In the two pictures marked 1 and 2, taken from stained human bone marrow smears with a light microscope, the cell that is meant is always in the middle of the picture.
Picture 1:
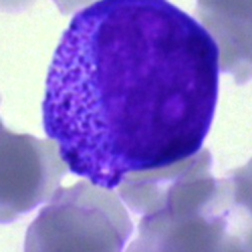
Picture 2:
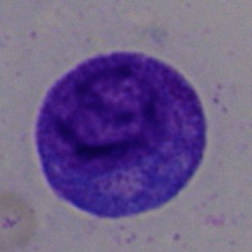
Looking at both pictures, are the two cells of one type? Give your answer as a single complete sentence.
Yes, they are the same type: both are promyelocytes.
